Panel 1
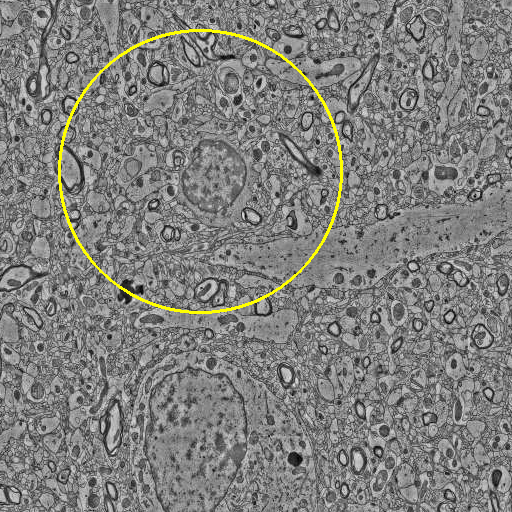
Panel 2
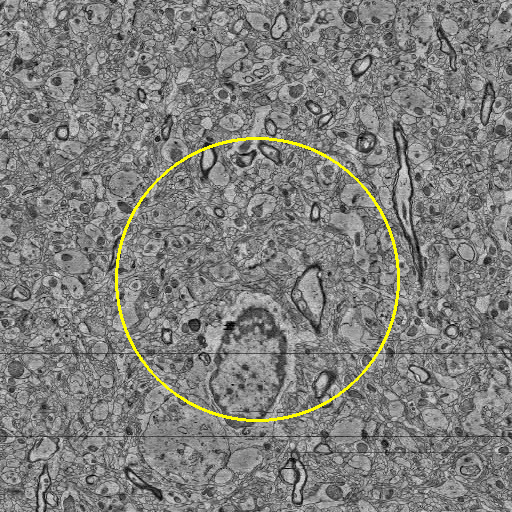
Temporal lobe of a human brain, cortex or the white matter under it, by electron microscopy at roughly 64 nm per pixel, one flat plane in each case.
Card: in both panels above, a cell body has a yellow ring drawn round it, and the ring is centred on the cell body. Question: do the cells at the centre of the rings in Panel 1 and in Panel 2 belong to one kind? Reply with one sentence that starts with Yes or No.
No, the cells centred in the rings of Panel 1 and Panel 2 are two kinds of cell.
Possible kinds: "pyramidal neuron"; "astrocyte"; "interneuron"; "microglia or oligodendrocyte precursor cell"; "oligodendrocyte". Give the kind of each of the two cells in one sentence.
The cell in the second picture is a microglial cell or oligodendrocyte precursor cell, and that in the first is an oligodendrocyte.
